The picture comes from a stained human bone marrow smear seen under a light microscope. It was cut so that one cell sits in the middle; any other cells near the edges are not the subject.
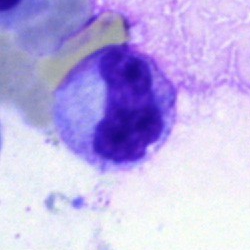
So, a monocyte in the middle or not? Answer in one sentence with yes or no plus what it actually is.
No, not a monocyte: the cell in the middle of this crop is a metamyelocyte.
